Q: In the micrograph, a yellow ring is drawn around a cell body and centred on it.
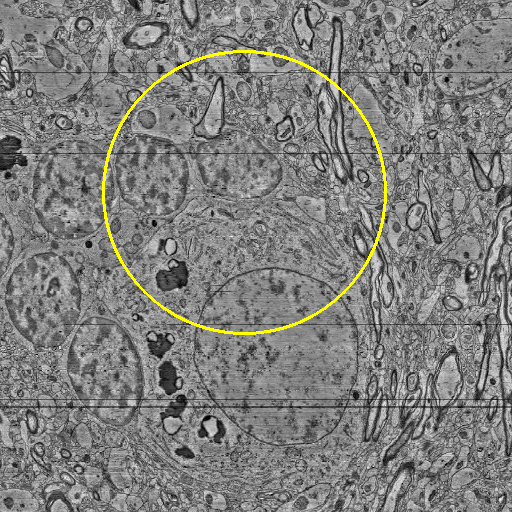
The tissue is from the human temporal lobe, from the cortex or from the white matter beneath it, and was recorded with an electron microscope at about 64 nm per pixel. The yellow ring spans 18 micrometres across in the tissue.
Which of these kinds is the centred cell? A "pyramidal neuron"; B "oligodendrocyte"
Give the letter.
B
